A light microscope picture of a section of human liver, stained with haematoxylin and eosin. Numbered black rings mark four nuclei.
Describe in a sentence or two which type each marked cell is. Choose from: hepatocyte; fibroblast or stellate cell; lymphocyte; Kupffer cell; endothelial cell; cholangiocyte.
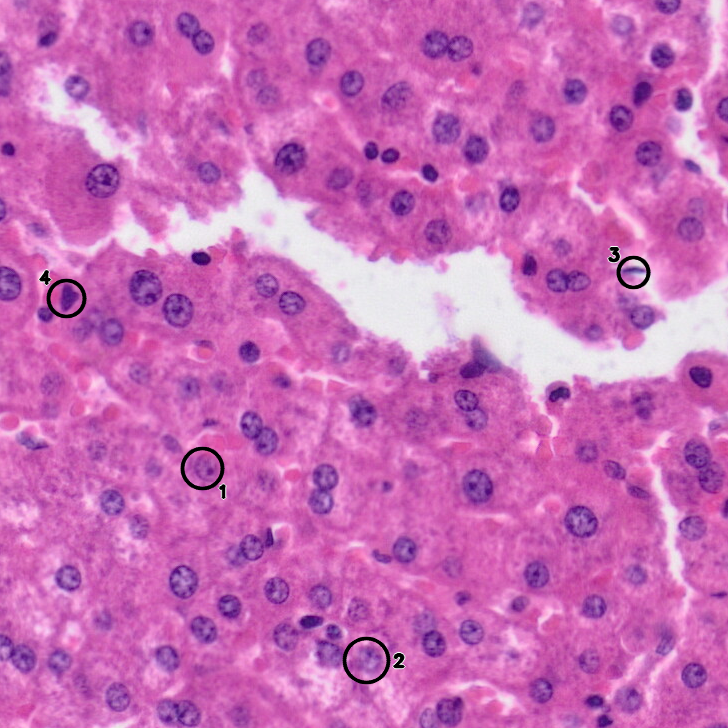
Cell 1 is a hepatocyte, cell 2 is a hepatocyte, cell 3 is an endothelial cell and cell 4 is a fibroblast or stellate cell.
